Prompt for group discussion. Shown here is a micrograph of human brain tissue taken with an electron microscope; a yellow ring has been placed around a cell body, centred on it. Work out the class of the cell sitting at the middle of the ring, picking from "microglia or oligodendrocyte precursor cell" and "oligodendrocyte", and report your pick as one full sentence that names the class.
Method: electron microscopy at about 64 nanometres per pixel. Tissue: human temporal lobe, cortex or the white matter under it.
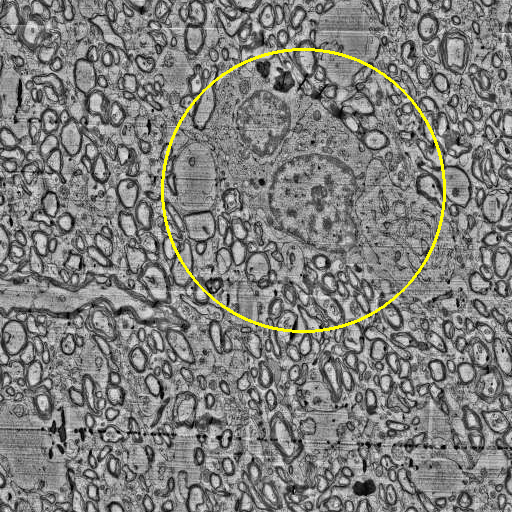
The cell sitting at the middle of the yellow ring is an oligodendrocyte.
